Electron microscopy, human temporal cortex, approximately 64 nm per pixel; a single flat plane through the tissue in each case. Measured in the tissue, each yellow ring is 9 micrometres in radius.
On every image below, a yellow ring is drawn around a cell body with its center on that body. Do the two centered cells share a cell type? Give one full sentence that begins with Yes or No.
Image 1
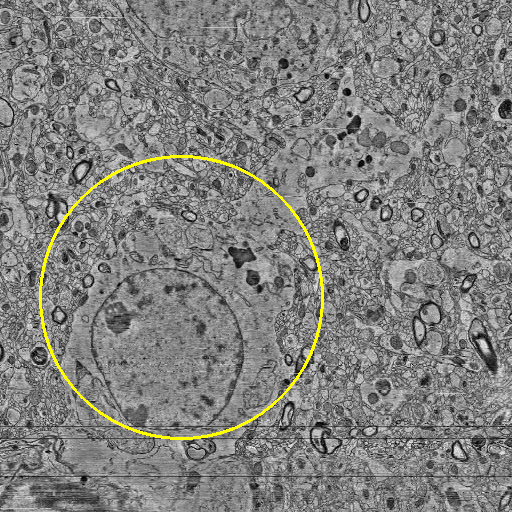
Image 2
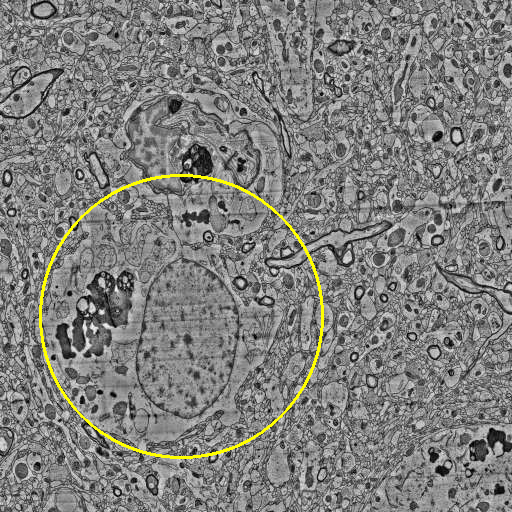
Yes, the centered cells in the two images are of a single cell type.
